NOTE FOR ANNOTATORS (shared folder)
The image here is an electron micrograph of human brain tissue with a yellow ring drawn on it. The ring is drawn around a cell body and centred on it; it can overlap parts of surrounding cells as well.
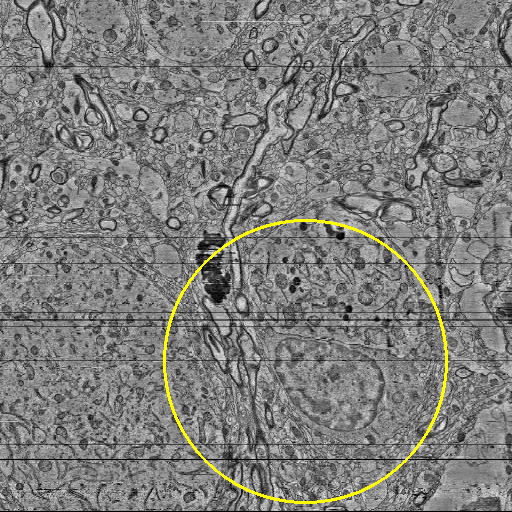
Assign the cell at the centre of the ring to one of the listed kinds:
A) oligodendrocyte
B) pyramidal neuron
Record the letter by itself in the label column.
A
